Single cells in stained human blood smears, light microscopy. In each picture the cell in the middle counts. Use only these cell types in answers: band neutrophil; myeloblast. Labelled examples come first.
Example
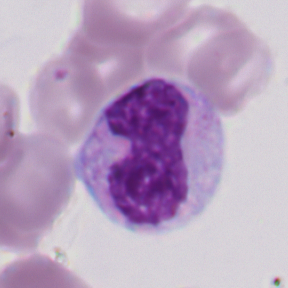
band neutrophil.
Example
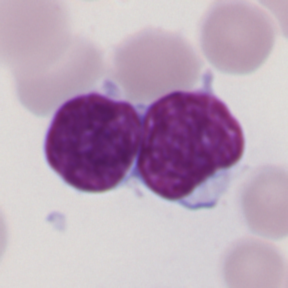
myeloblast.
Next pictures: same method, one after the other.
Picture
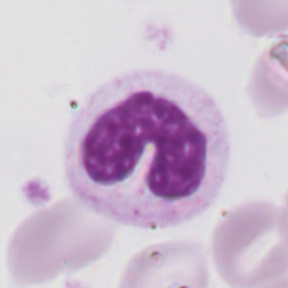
band neutrophil.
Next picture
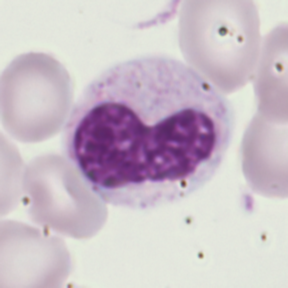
band neutrophil.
